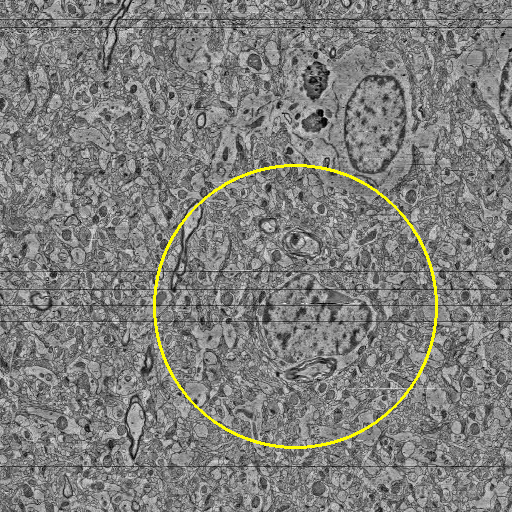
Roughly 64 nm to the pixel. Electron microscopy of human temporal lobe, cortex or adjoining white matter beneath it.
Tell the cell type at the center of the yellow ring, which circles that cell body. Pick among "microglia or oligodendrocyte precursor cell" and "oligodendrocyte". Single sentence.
The ring is centered on the body of a microglial cell or oligodendrocyte precursor cell.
